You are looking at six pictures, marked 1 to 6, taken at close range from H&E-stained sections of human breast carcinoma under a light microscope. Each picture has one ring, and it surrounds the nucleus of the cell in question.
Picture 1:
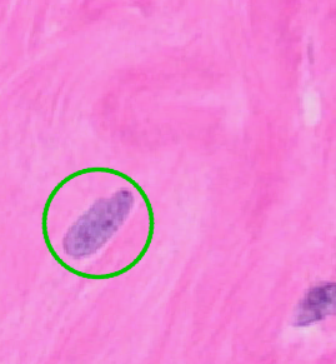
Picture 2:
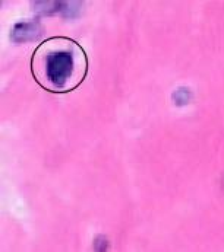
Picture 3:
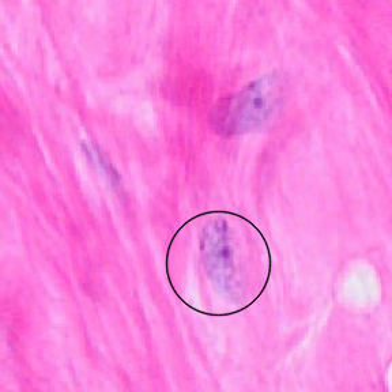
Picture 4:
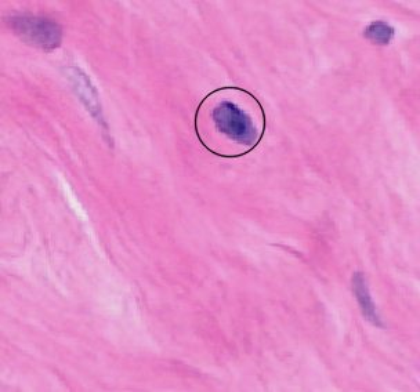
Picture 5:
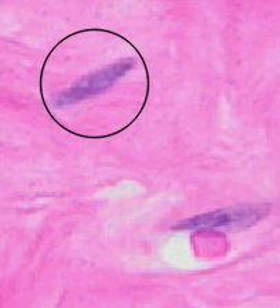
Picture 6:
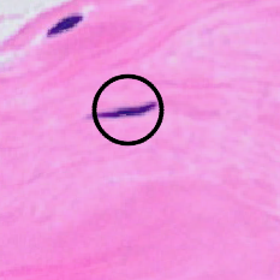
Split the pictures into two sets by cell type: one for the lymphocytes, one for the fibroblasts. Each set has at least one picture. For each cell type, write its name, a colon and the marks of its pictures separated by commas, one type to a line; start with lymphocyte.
lymphocyte: 2, 4
fibroblast: 1, 3, 5, 6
